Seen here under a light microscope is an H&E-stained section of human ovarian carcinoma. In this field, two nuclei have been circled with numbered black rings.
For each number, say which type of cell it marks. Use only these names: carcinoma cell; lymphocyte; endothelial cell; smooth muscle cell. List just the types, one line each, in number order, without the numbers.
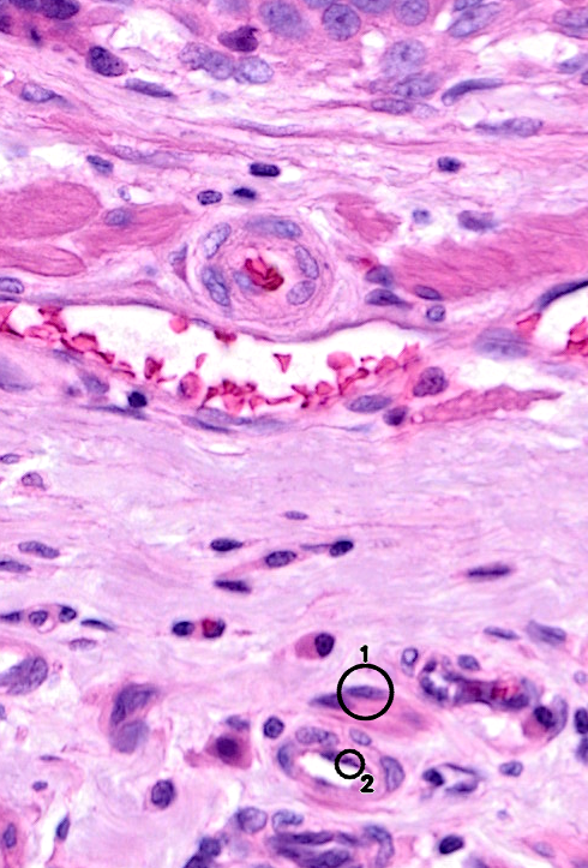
smooth muscle cell
endothelial cell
